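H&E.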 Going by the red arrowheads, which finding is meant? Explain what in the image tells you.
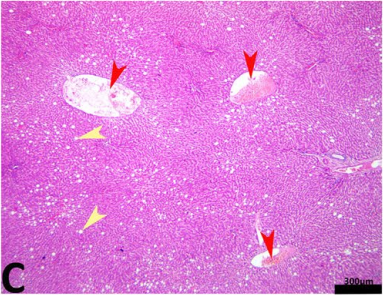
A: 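Congestion of the central veins. Round vessel lumens marked by the red arrowheads contain pink-red material.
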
